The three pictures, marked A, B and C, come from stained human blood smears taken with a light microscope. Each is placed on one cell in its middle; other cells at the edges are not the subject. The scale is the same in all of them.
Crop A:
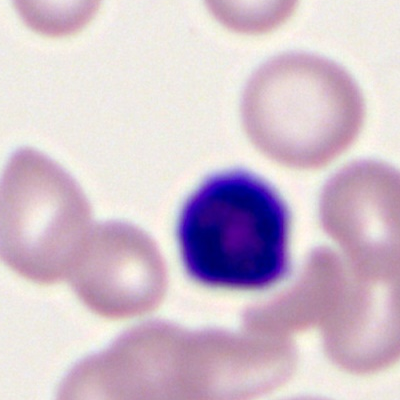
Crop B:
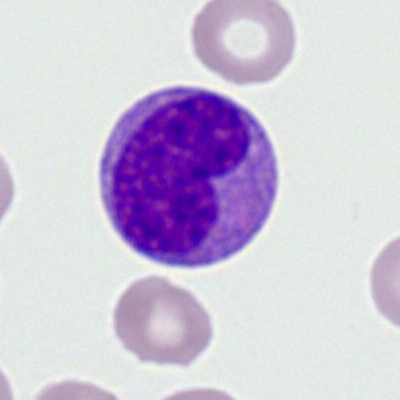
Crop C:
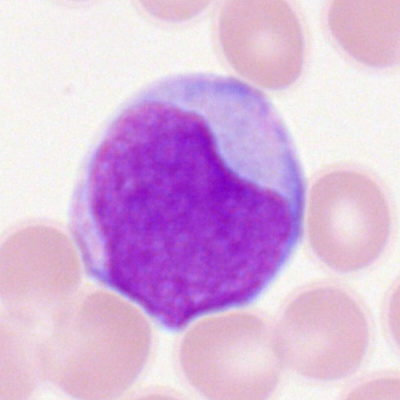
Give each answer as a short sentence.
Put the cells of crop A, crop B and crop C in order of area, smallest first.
Smallest first: A, B, C.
